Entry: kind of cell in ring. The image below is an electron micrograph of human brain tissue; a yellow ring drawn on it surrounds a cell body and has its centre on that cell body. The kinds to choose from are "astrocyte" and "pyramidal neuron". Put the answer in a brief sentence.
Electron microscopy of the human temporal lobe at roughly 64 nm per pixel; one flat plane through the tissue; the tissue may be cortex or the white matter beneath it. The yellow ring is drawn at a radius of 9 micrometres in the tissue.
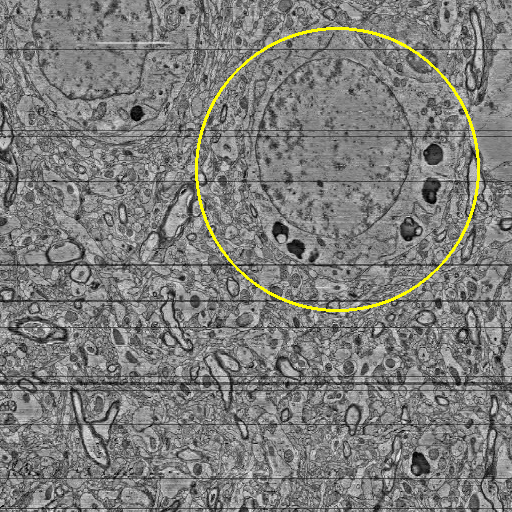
The ring has been drawn around a pyramidal neuron.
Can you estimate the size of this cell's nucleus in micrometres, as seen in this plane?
In this plane, roughly 12 by 10 micrometres.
